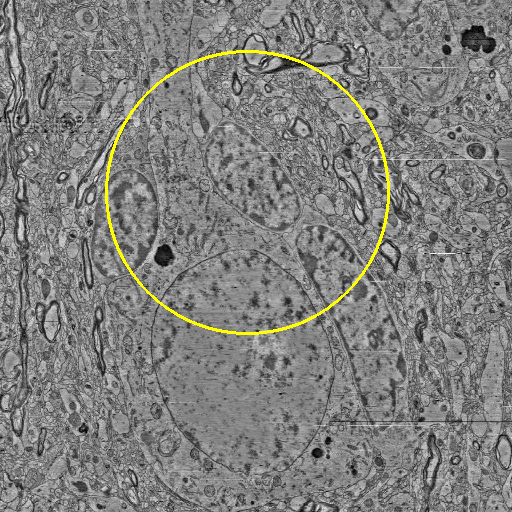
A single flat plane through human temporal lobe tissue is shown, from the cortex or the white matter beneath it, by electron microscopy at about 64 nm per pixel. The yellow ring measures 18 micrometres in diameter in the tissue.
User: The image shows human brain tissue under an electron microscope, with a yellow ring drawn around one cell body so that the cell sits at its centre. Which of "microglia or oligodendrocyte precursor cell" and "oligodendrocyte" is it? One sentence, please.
At the centre of the ring sits a microglial cell or oligodendrocyte precursor cell.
